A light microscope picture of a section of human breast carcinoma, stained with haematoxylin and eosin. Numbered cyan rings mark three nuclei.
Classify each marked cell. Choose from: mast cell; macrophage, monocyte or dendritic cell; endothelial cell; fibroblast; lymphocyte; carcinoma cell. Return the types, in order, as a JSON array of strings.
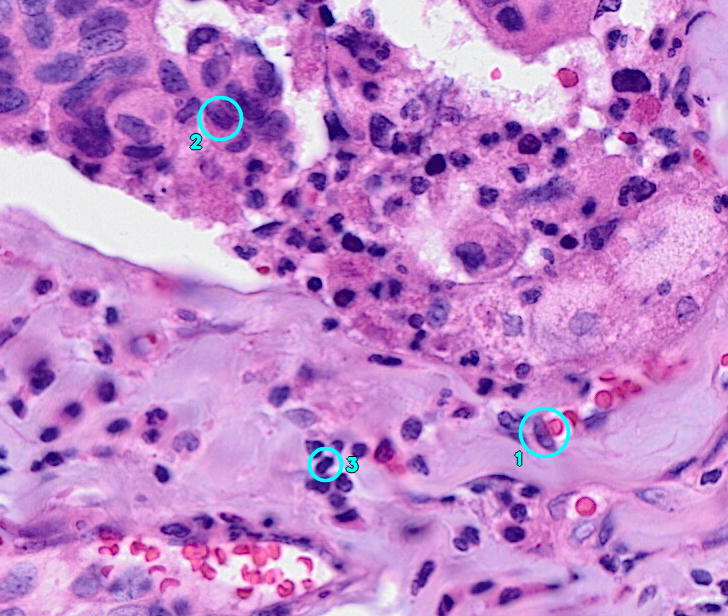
["endothelial cell", "carcinoma cell", "lymphocyte"]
